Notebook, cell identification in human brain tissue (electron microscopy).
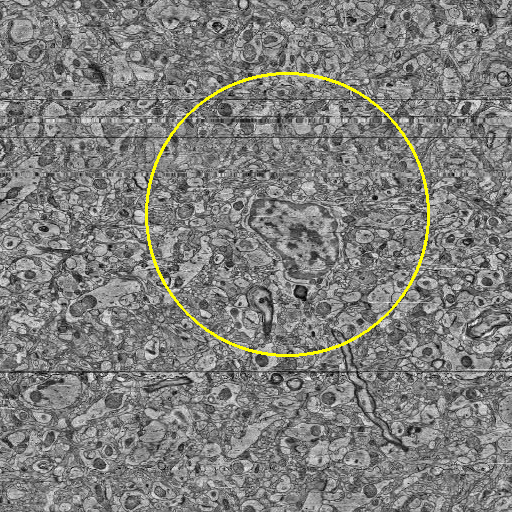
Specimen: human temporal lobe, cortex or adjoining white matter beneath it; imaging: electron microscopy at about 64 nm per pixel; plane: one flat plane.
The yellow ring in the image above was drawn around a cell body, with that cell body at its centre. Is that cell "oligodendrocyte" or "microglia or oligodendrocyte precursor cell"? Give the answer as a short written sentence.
The cell in the ring is a microglial cell or oligodendrocyte precursor cell.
